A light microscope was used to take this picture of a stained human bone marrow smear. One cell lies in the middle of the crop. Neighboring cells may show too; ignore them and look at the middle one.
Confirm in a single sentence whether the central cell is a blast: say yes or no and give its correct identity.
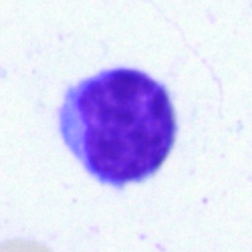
No, that guess of a blast misses; the central cell is a lymphocyte.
